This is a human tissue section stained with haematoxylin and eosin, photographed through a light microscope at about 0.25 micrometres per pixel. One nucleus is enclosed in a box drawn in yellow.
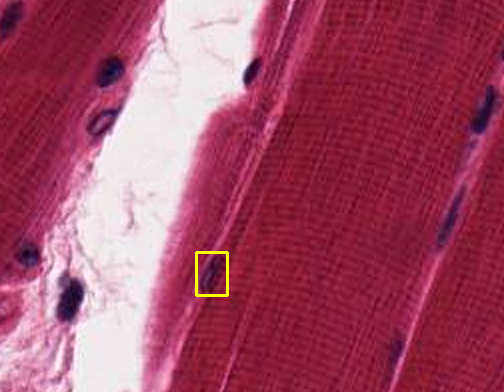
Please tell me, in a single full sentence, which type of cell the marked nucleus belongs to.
The nucleus marked in the section is that of a skeletal muscle fibre.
